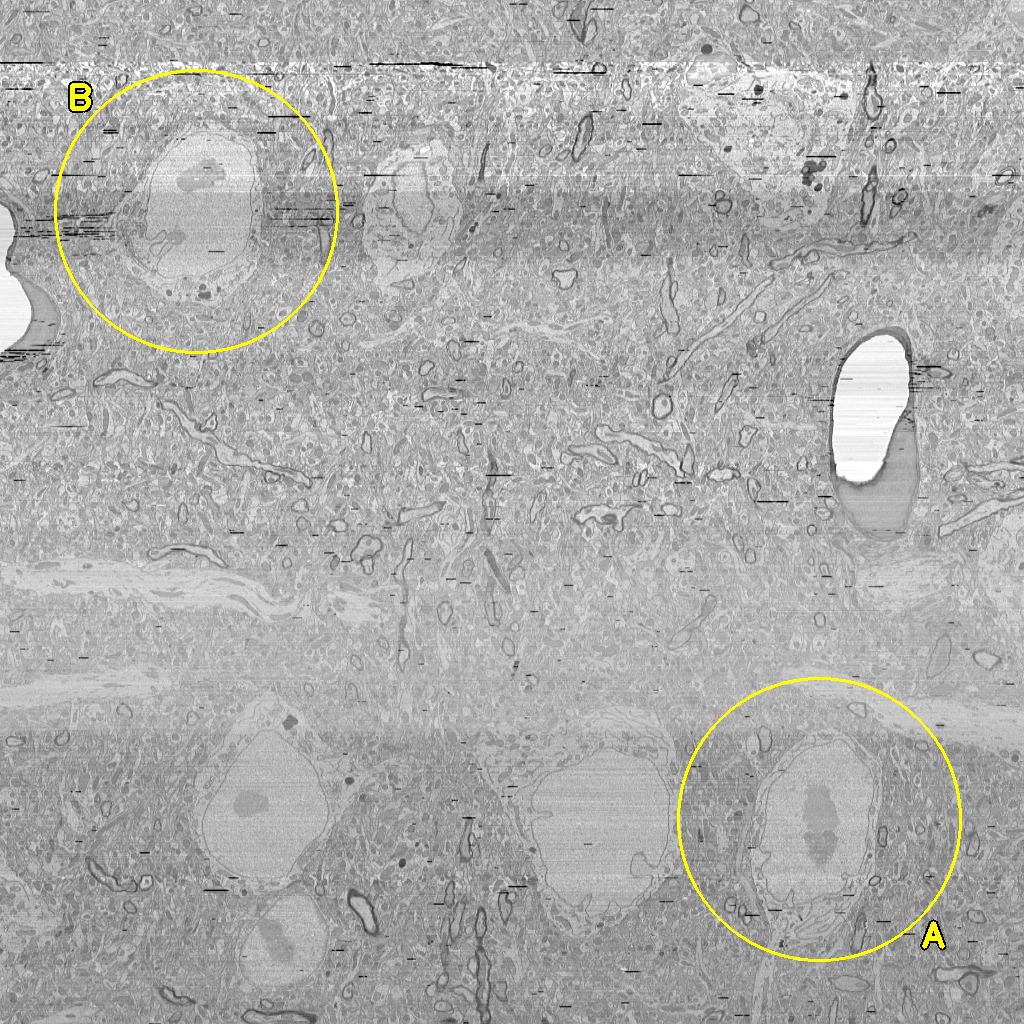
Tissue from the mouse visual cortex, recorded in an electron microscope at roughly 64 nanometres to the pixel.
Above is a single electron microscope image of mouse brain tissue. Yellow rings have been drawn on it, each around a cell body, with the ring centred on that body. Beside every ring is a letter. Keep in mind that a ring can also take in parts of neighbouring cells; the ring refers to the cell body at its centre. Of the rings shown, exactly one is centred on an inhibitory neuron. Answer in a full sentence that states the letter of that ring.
The cell at the centre of ring A is the one asked for.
